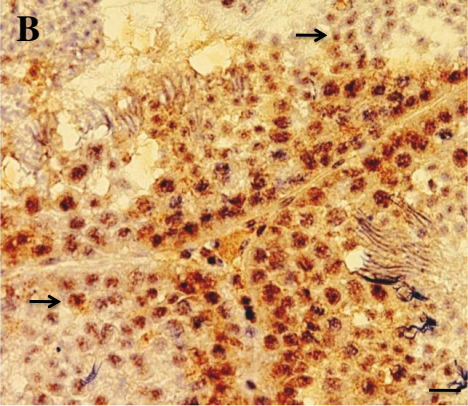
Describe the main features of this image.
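The stained cells crowd the middle and outer layers of the epithelium, with a thin interstitial band crossing between tubule profiles. Nearer the lumen paler cells and a few bundles of dark elongated sperm heads are seen, and the lumen contains loose pale material.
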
